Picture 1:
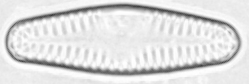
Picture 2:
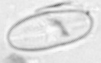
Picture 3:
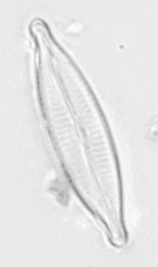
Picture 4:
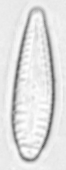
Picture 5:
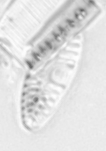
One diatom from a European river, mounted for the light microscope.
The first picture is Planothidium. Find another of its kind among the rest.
Picture 5.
